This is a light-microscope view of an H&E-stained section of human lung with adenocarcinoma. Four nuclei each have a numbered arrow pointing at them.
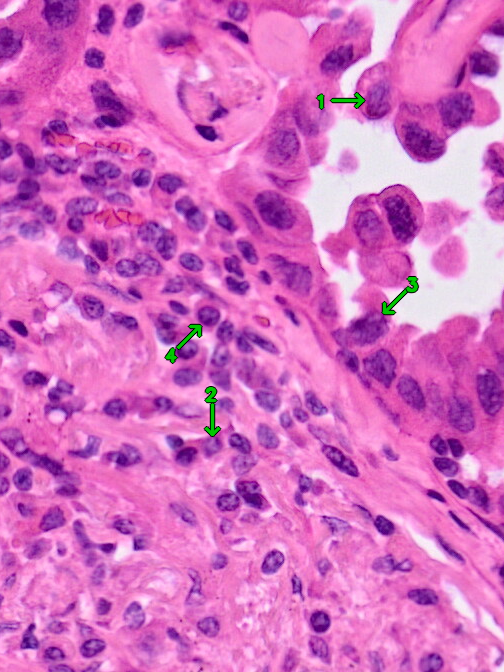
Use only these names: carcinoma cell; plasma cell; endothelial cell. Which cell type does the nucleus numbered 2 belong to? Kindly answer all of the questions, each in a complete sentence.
Among the marked nuclei, number 2 belongs to a plasma cell.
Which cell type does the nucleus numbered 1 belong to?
The identity of cell 1 is that of a carcinoma cell.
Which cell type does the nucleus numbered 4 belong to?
Heads up, the cell numbered 4 is a plasma cell.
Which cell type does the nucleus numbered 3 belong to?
The cell tagged with 3 in this tissue section is a carcinoma cell.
